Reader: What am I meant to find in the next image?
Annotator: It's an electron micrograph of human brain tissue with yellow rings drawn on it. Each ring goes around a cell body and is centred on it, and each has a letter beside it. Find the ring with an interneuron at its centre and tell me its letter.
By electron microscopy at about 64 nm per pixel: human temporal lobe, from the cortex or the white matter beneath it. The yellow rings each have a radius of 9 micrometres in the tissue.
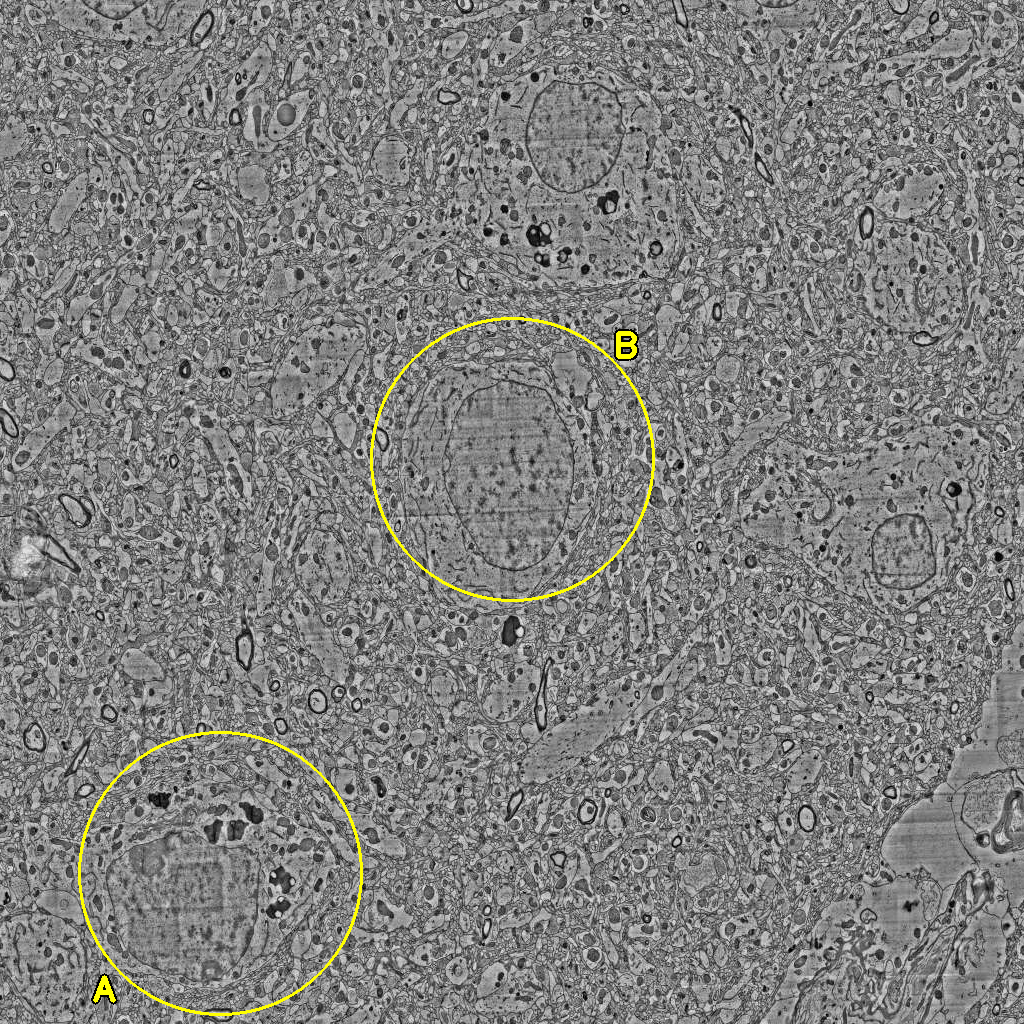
A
